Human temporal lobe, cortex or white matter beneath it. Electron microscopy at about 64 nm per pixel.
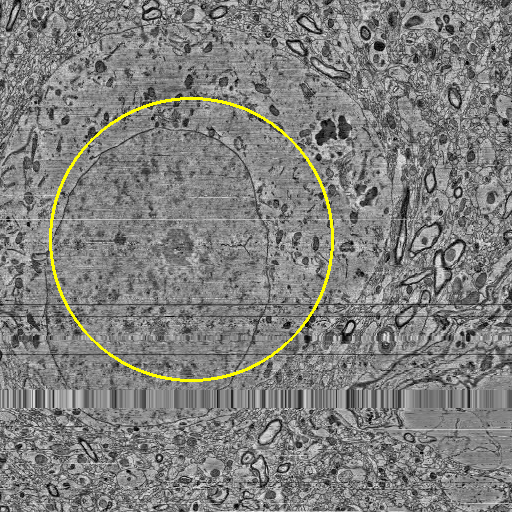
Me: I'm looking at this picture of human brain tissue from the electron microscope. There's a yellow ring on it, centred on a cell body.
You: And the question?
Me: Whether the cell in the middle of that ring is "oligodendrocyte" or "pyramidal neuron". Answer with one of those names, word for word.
pyramidal neuron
